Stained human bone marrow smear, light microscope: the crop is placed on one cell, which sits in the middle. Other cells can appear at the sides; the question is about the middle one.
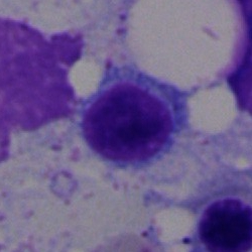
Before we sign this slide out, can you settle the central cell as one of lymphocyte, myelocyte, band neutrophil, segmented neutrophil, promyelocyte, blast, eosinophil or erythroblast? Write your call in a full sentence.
The crop shows an erythroblast in its centre.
